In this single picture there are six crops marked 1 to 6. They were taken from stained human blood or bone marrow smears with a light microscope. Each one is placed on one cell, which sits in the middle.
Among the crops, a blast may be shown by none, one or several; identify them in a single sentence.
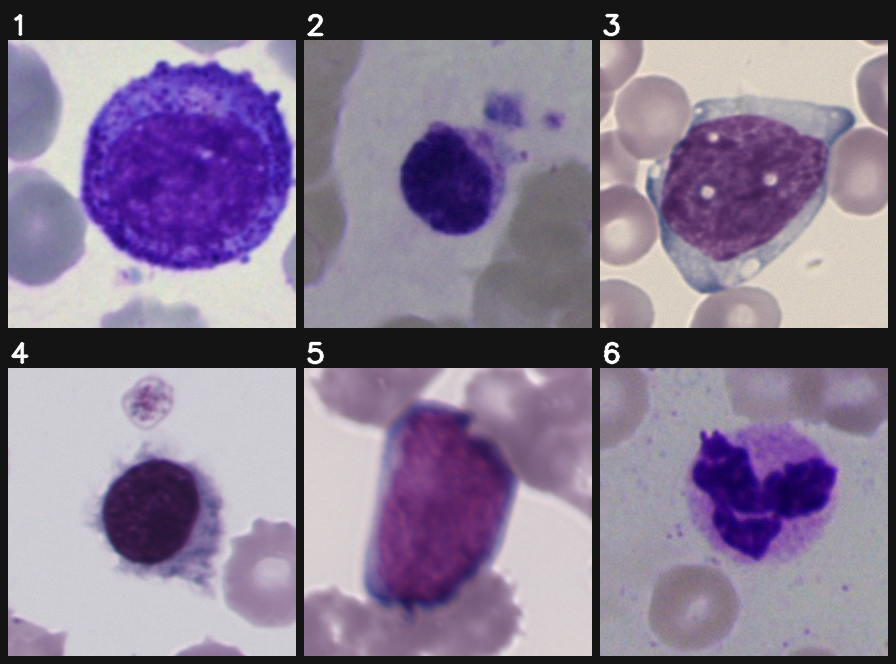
That crops 3 and 5 show blasts is the identification made here.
